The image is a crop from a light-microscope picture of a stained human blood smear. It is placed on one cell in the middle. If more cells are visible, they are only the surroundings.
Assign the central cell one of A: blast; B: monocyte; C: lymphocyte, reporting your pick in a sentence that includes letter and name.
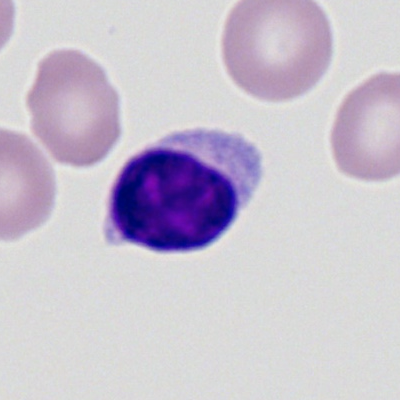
Option C is right in identifying the central cell as a lymphocyte.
